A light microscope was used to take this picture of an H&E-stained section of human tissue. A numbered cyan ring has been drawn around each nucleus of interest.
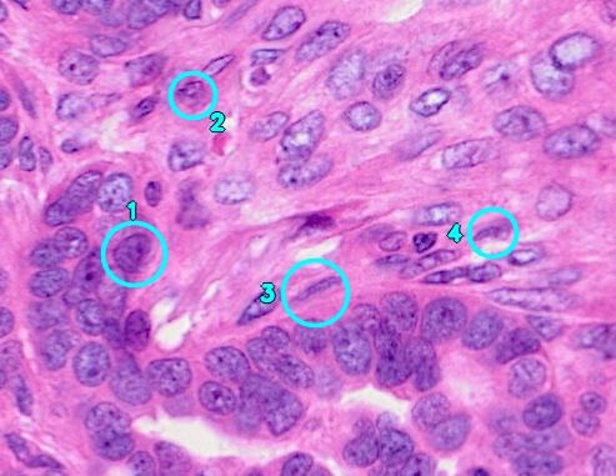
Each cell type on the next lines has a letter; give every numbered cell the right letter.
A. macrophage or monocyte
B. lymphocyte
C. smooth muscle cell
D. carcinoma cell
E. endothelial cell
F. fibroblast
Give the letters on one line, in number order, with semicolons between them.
D; E; F; F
